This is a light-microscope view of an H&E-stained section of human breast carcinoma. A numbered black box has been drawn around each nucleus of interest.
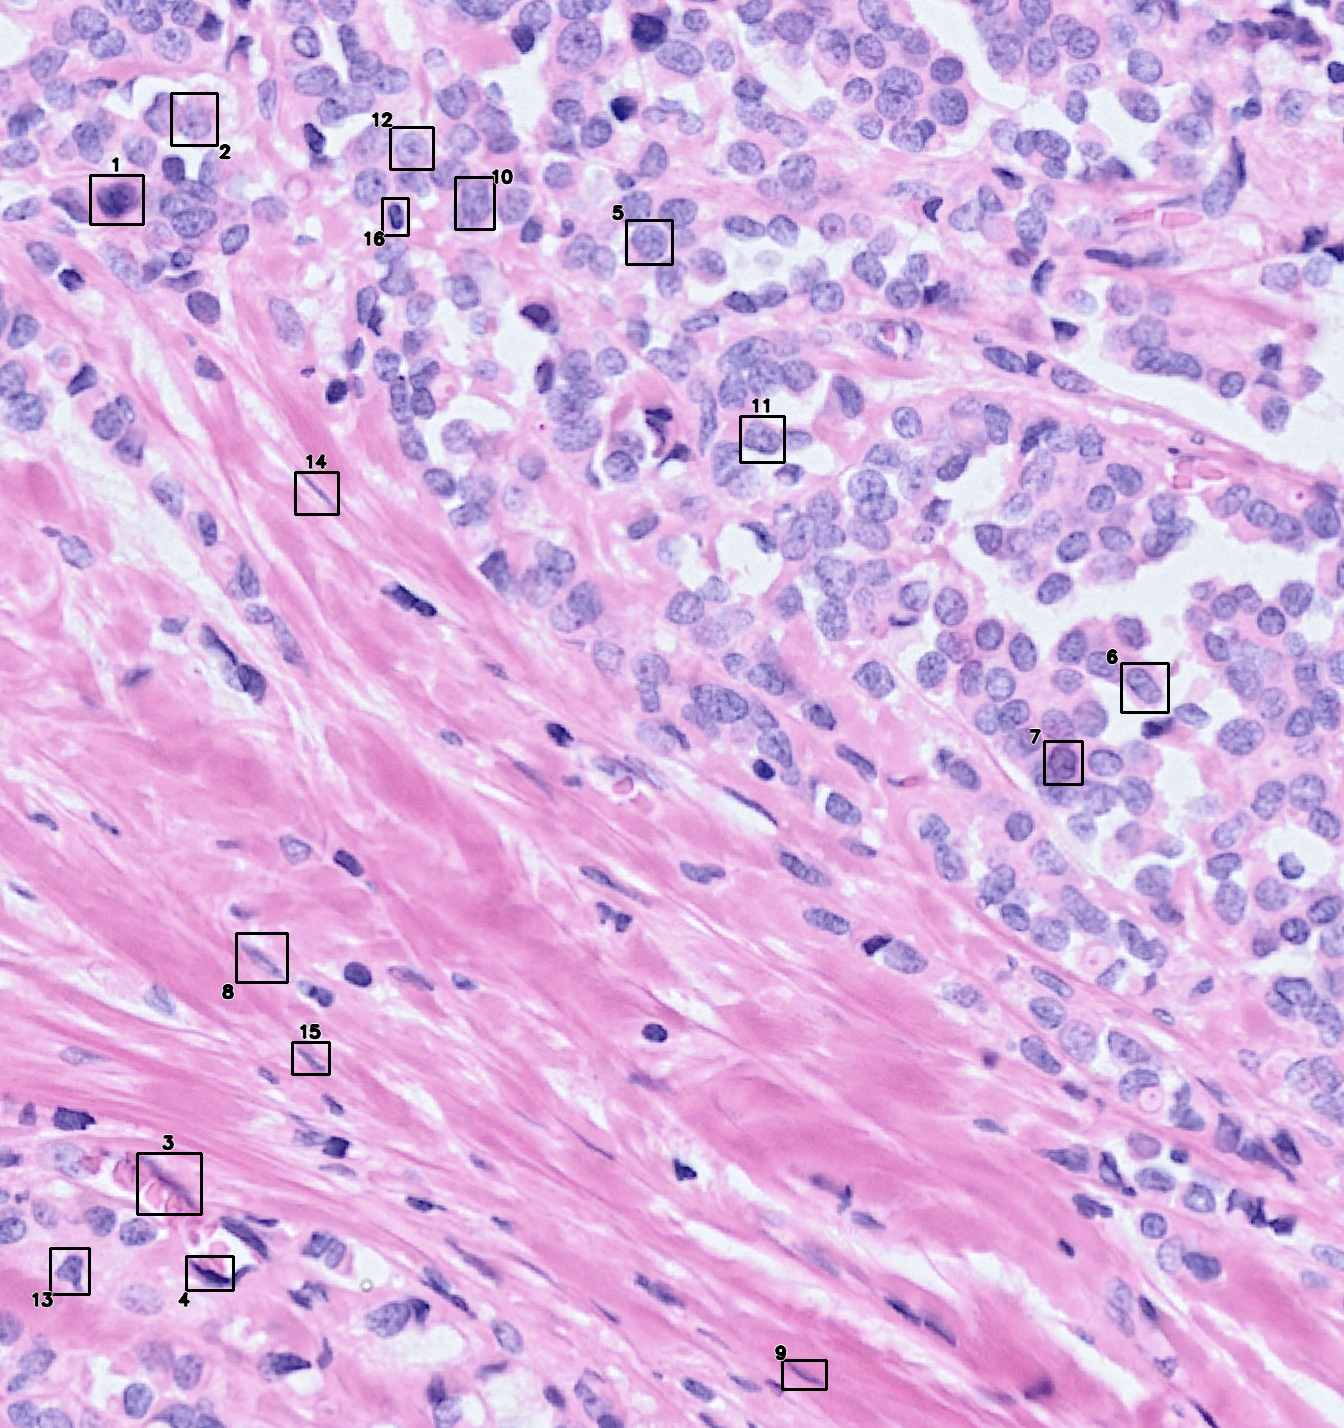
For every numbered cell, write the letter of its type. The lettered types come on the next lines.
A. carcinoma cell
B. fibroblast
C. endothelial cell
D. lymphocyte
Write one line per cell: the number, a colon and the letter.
1: A
2: A
3: C
4: C
5: A
6: A
7: A
8: B
9: B
10: A
11: A
12: A
13: D
14: B
15: B
16: D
